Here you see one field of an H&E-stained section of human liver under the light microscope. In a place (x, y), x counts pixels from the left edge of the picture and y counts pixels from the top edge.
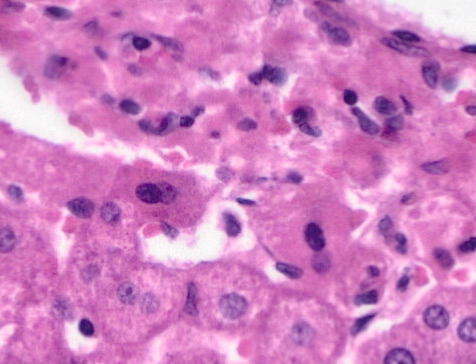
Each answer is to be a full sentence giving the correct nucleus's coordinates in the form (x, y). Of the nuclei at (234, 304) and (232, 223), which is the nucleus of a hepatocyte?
Rather than the other nucleus, the one at (234, 304) belongs to a hepatocyte.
